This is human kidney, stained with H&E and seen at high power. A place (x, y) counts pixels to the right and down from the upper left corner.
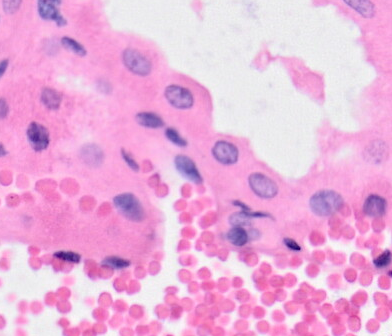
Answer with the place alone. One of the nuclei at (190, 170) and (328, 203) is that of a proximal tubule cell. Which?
(328, 203)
